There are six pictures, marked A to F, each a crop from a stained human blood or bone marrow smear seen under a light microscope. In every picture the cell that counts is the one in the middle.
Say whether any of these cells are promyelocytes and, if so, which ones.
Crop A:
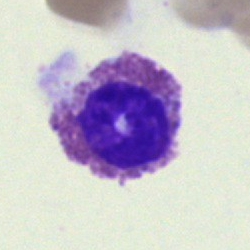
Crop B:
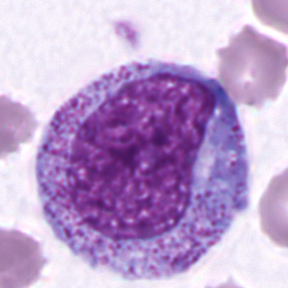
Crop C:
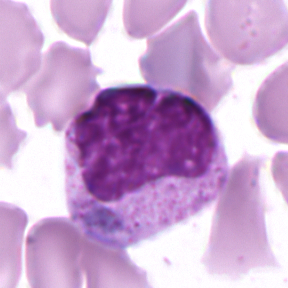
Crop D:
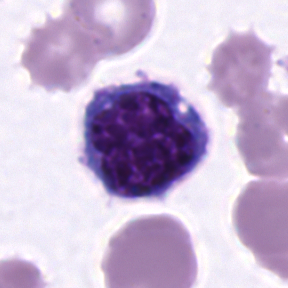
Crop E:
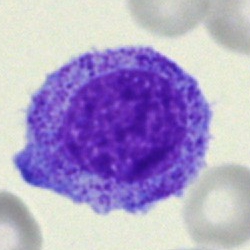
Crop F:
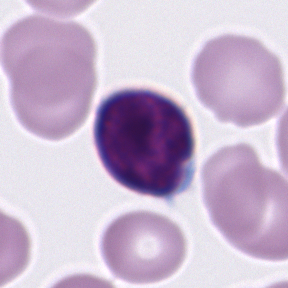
B, E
